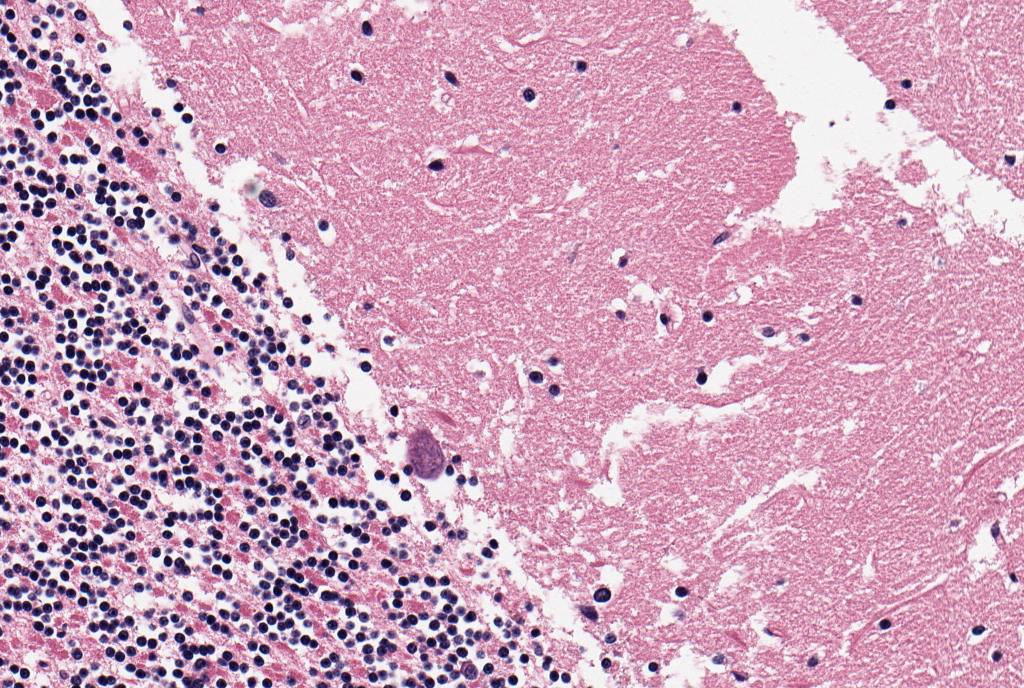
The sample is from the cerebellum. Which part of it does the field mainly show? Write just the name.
molecular layer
